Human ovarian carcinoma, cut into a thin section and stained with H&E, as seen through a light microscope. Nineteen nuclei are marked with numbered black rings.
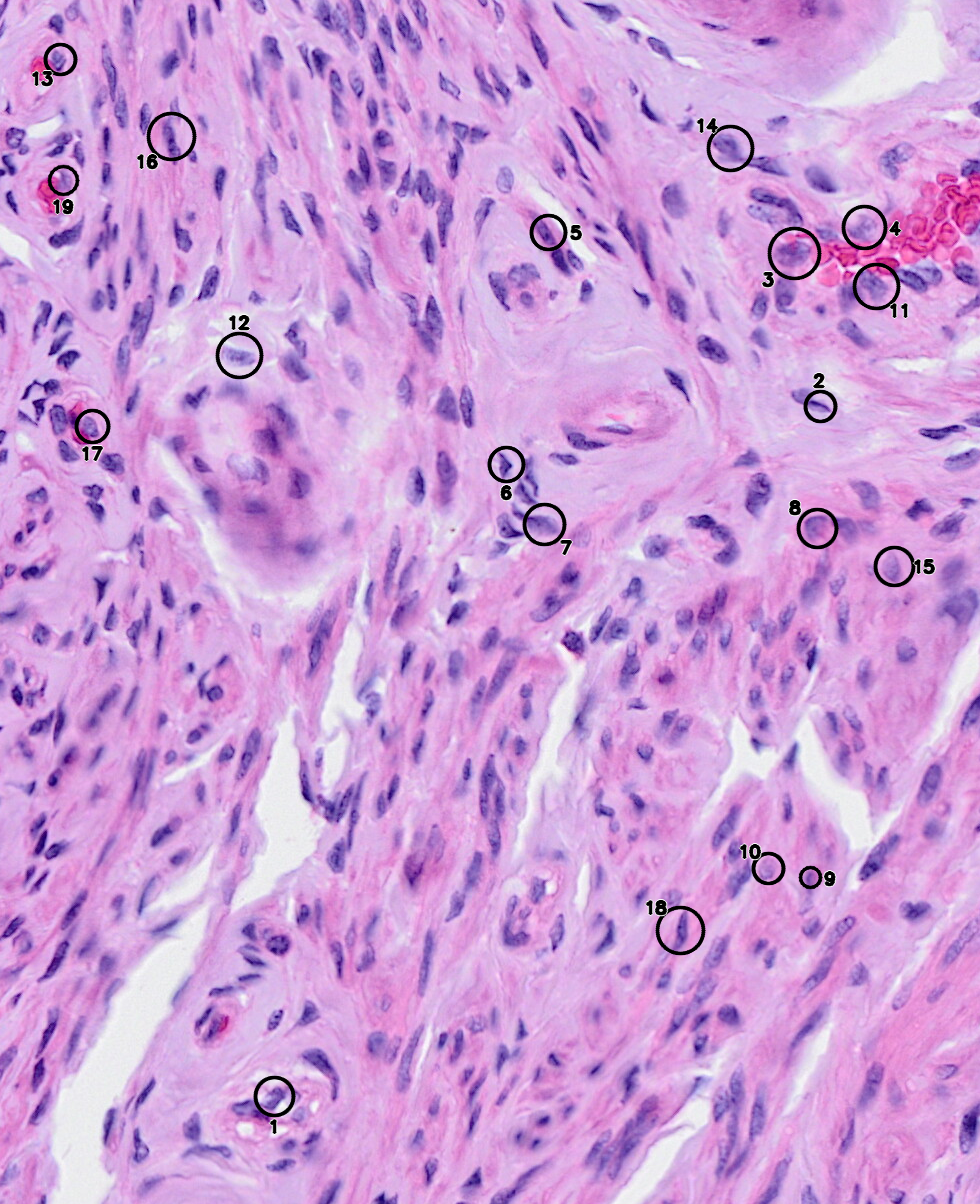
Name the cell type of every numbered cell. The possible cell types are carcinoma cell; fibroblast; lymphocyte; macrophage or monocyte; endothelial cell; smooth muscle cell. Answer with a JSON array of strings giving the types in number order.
["endothelial cell", "fibroblast", "endothelial cell", "endothelial cell", "endothelial cell", "fibroblast", "fibroblast", "smooth muscle cell", "smooth muscle cell", "smooth muscle cell", "endothelial cell", "fibroblast", "endothelial cell", "fibroblast", "smooth muscle cell", "smooth muscle cell", "endothelial cell", "smooth muscle cell", "endothelial cell"]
